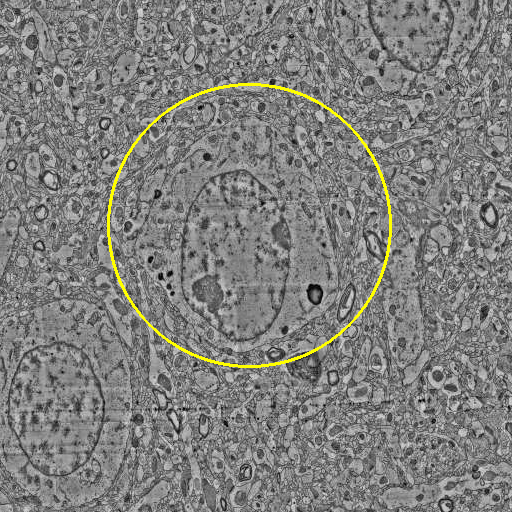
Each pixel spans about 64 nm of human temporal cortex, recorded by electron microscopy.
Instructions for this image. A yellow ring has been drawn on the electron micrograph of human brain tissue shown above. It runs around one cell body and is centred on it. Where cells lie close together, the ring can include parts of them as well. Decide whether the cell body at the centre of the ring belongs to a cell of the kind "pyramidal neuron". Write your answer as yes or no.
yes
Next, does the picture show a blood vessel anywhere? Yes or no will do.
No, there is no blood vessel in the image.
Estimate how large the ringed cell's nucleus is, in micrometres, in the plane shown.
Approximately 11 by 7 micrometers, which makes the nucleus clearly longer than it is wide in this plane.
